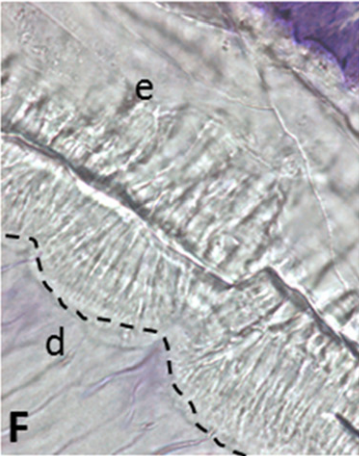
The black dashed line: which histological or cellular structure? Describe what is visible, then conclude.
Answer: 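Dentino-enamel junction. The dashed line separates smooth tubular tissue at lower left from striated columnar tissue above. The line runs along the boundary between the two hard tissues.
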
